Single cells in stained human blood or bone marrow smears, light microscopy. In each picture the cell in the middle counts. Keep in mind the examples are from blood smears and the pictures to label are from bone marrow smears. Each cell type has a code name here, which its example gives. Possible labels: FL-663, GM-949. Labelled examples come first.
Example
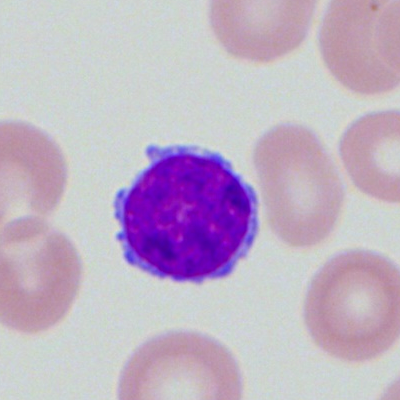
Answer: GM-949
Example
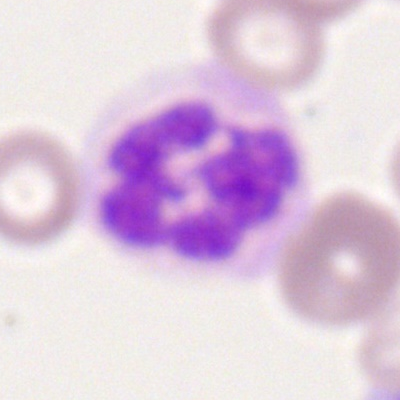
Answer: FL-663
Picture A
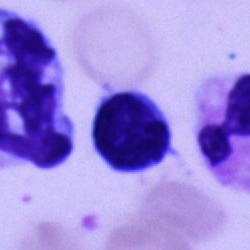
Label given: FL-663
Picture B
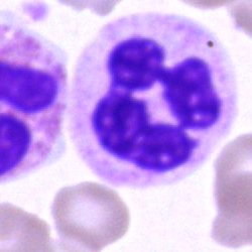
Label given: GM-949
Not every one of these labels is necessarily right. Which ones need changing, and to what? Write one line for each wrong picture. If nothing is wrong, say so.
A: GM-949, not FL-663
B: FL-663, not GM-949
